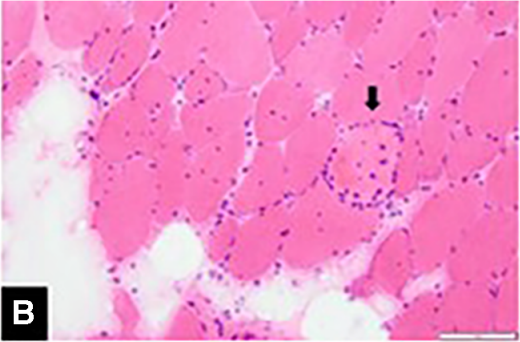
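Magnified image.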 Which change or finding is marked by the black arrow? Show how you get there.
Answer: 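The fiber under the arrow is paler than its neighbours. Many small round dark nuclei crowd inside and around that fiber. The answer: necrotic fiber.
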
